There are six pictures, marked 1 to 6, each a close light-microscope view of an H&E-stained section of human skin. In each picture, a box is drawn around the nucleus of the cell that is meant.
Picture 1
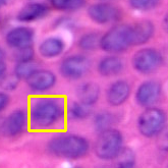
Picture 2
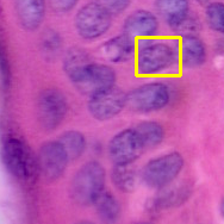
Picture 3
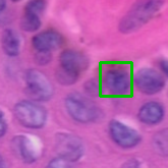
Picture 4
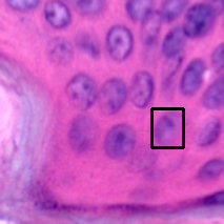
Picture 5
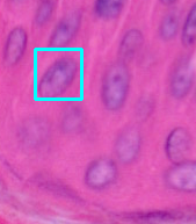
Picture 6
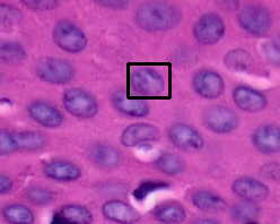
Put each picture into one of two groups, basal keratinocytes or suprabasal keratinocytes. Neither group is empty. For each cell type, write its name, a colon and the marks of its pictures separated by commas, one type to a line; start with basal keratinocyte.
basal keratinocyte: 1, 2, 3
suprabasal keratinocyte: 4, 5, 6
